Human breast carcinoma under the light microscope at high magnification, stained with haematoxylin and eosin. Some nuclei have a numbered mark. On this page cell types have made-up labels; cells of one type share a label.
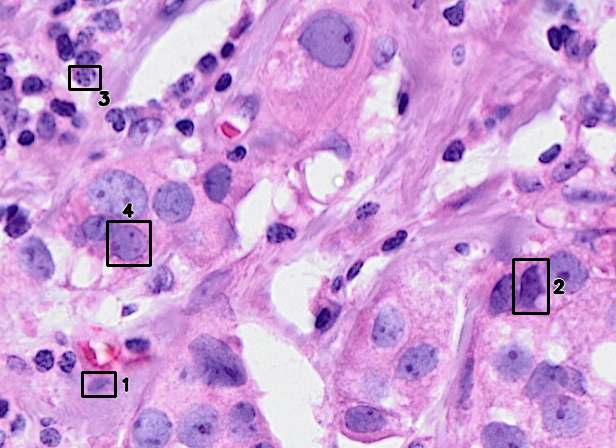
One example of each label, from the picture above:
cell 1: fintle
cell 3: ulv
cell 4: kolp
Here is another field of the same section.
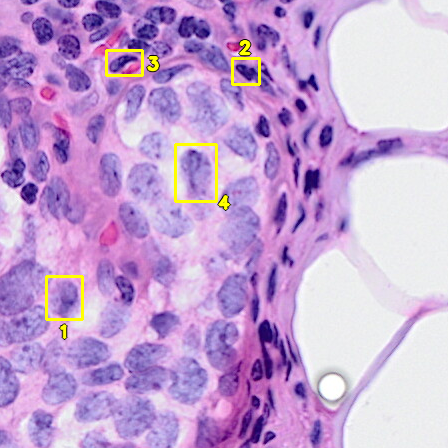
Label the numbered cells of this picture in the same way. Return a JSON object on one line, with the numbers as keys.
{"1": "kolp", "2": "ulv", "3": "fintle", "4": "kolp"}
